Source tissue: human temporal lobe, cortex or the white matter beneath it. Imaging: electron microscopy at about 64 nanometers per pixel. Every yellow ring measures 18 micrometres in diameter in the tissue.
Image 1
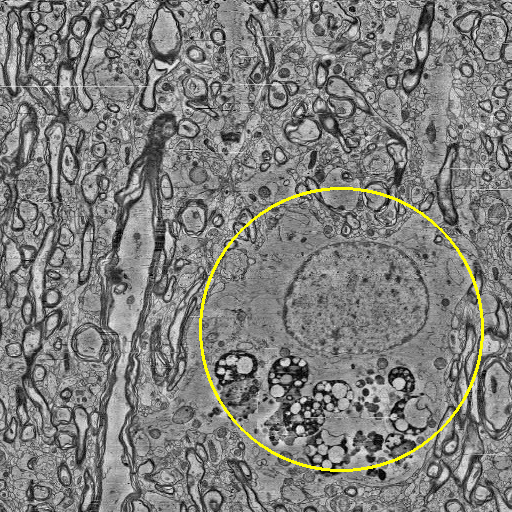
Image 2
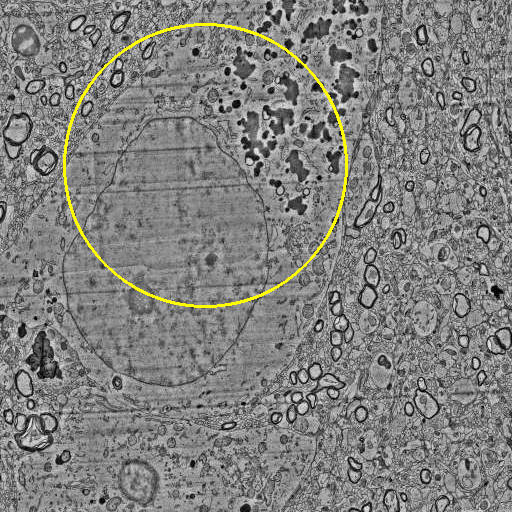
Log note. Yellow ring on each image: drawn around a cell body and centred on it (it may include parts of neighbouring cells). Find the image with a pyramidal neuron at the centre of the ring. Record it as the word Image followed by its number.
Image 2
